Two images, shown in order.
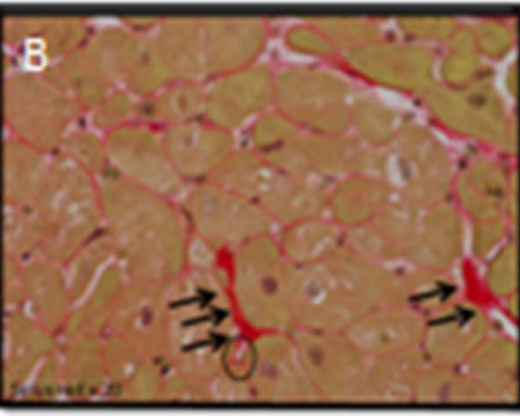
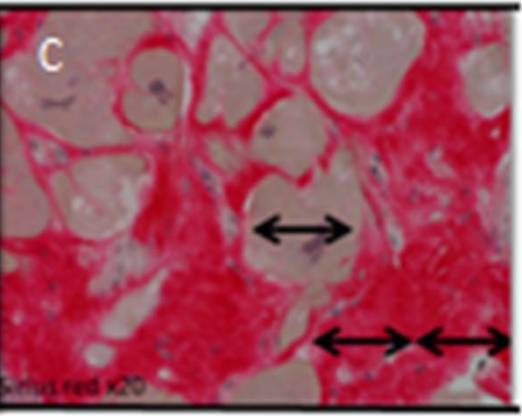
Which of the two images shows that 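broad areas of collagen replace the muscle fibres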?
the second image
